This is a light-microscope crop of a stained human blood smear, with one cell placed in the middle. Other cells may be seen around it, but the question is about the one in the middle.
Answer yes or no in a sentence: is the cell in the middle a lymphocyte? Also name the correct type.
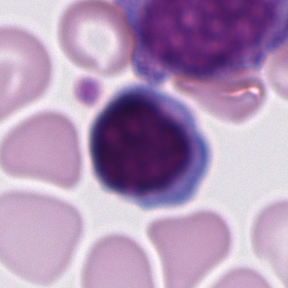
Yes, the cell at the heart of the crop is a lymphocyte.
